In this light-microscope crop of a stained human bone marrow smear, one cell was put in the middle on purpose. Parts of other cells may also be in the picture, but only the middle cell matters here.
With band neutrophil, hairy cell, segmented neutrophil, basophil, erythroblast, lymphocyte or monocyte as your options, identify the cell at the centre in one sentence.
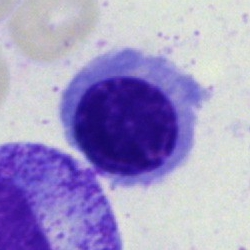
The central cell, amid any neighbouring cells, is an erythroblast.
